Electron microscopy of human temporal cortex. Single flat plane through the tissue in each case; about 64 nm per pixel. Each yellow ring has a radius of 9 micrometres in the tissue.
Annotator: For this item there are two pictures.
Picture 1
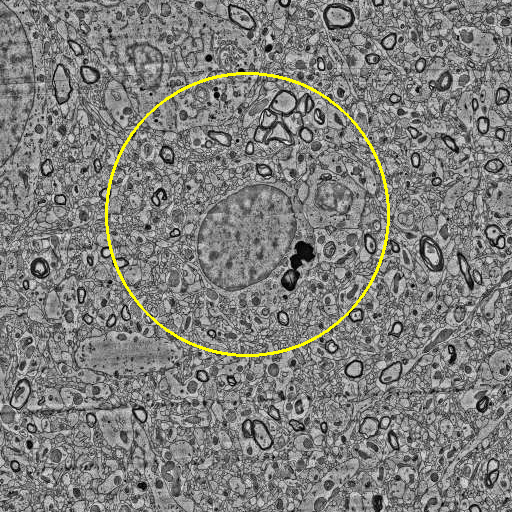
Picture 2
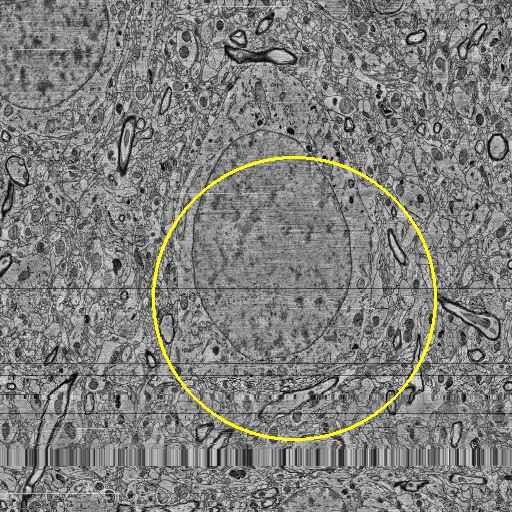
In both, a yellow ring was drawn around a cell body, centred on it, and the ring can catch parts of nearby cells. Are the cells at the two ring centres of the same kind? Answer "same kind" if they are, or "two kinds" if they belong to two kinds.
two kinds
